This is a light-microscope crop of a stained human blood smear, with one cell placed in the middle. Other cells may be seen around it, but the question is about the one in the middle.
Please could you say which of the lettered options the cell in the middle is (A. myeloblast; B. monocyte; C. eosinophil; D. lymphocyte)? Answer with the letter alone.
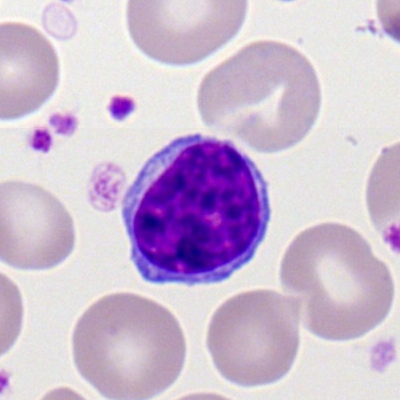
D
